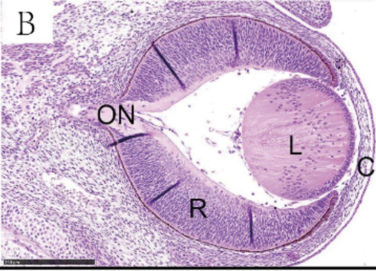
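This is a section through a whole eye, with the round pink lens sitting in the opening of a cup formed by the thick purple retina. The retina is densely packed with small dark nuclei and wraps around a pale, mostly empty space behind the lens. At the back of the cup a stalk of tissue, the optic nerve, leaves the eye, and across the front a thin layer of cornea covers the lens. The lens itself is made of pale pink, elongated fibres with scattered nuclei.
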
